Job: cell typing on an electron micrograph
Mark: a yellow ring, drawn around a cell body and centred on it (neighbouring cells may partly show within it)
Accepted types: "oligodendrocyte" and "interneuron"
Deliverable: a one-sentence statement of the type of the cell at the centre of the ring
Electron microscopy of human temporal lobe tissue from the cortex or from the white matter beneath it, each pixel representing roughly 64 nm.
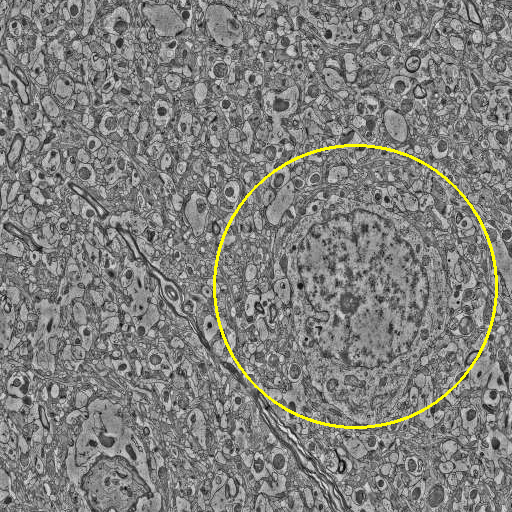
The centred cell body is that of an interneuron.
